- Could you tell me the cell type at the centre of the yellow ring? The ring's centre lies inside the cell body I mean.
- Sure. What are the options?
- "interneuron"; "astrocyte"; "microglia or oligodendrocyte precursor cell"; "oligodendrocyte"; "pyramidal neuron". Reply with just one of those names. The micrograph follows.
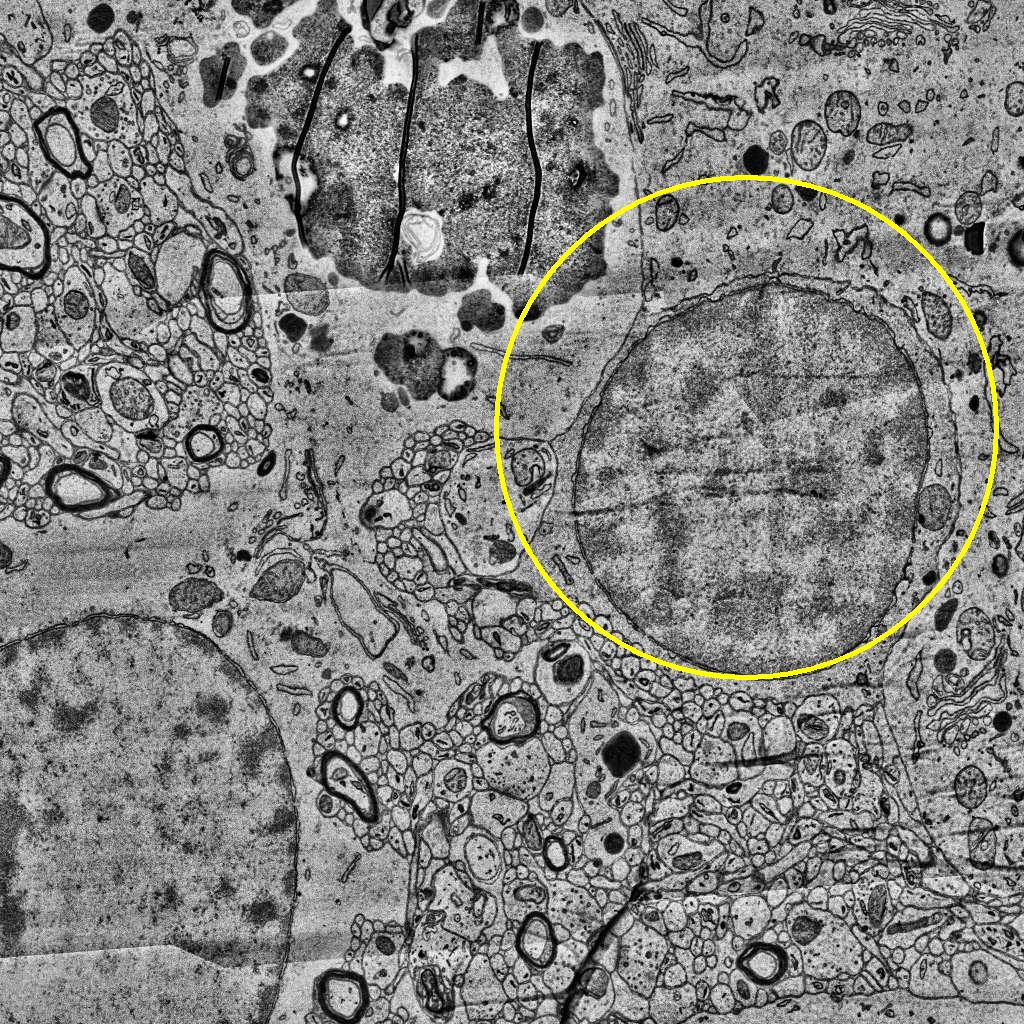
oligodendrocyte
